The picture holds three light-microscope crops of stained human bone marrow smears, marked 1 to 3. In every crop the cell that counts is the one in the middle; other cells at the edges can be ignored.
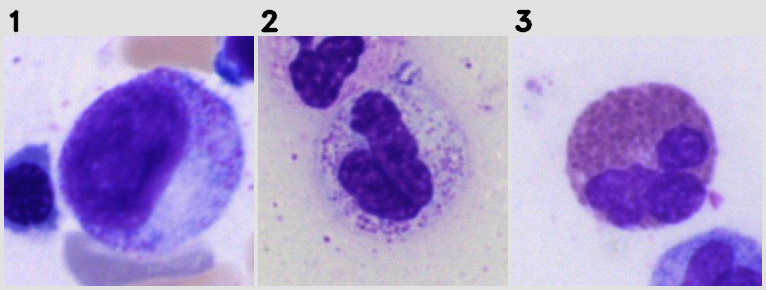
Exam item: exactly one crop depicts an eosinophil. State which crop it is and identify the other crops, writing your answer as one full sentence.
In crop 3, an eosinophil is the cell shown, while crop 1 is a promyelocyte and crop 2 is a neutrophil.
